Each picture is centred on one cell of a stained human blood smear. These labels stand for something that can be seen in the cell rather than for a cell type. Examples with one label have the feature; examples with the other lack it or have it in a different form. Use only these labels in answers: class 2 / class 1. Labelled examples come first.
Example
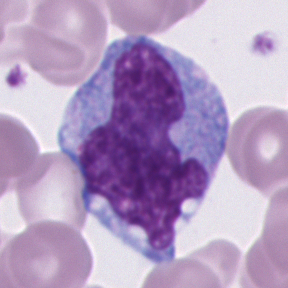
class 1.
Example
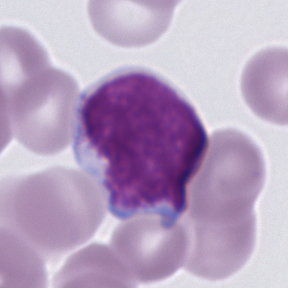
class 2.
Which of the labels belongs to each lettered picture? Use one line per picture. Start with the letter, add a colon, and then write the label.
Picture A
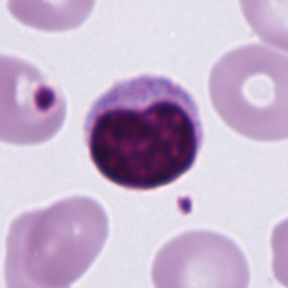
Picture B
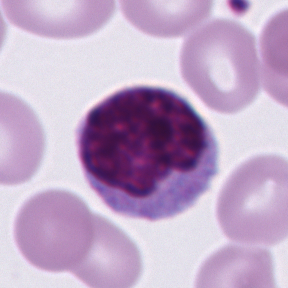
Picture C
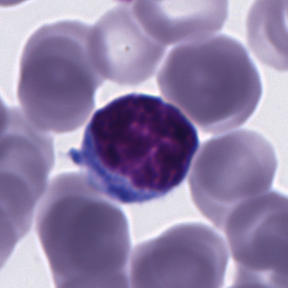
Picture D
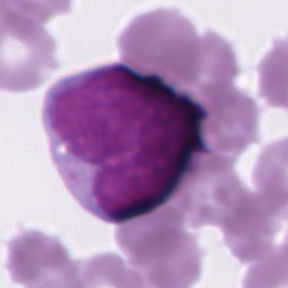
A: class 1.
B: class 1.
C: class 2.
D: class 2.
